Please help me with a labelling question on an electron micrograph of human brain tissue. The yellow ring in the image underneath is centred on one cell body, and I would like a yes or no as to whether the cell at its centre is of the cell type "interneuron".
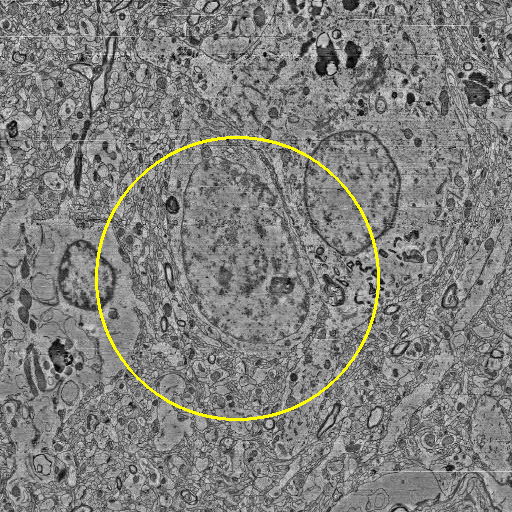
yes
